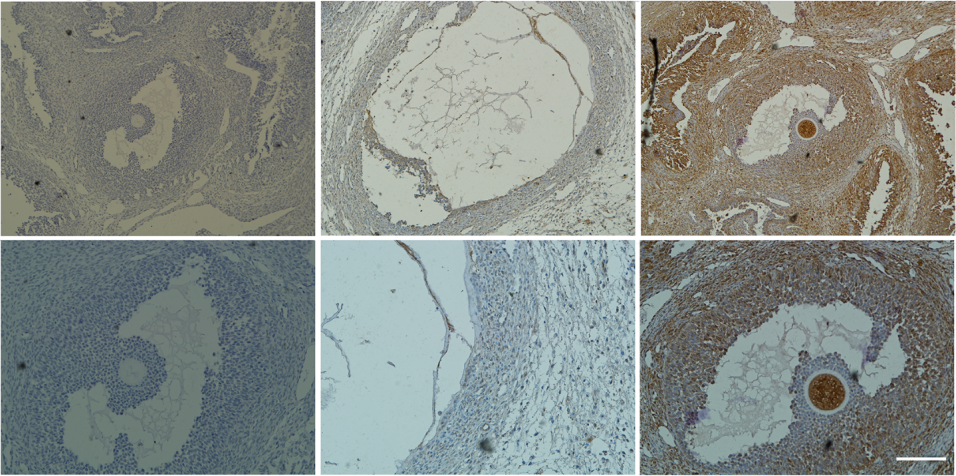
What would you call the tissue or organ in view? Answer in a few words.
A: Ovaries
